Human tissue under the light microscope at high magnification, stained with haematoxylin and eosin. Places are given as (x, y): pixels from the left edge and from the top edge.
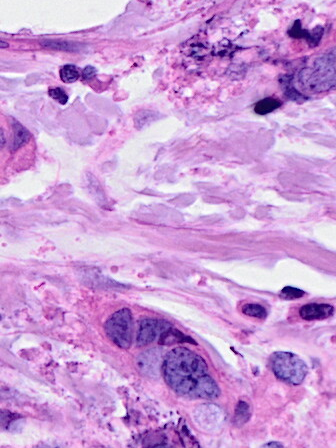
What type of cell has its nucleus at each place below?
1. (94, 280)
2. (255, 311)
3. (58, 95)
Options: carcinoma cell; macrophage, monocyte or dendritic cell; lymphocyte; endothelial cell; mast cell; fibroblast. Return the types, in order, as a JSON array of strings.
["fibroblast", "mast cell", "lymphocyte"]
